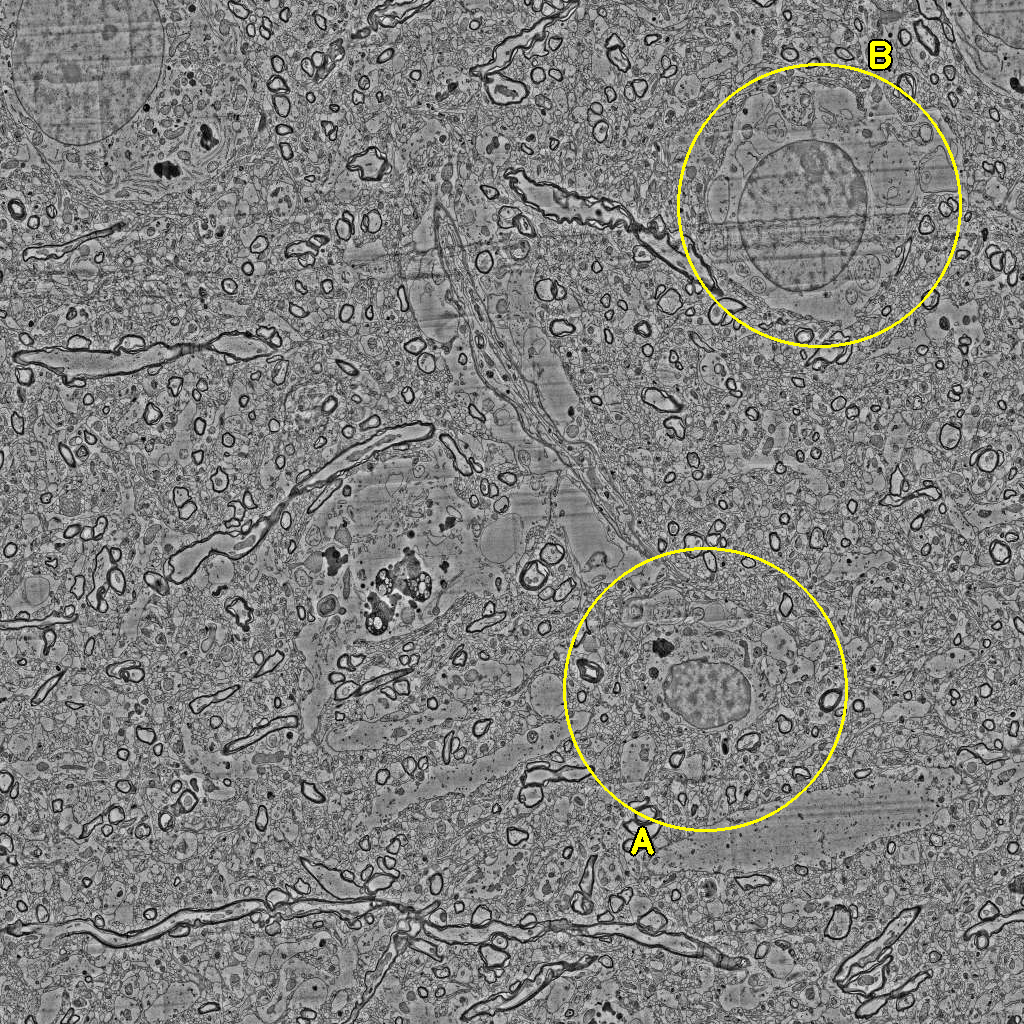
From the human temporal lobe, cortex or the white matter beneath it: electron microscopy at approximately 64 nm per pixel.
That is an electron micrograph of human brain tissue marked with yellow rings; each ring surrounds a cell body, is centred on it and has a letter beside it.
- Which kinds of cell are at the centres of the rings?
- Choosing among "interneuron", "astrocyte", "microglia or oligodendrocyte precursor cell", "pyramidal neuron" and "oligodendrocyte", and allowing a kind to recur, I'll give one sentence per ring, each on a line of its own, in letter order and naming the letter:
Ring A sits around an oligodendrocyte.
Ring B sits around an astrocyte.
